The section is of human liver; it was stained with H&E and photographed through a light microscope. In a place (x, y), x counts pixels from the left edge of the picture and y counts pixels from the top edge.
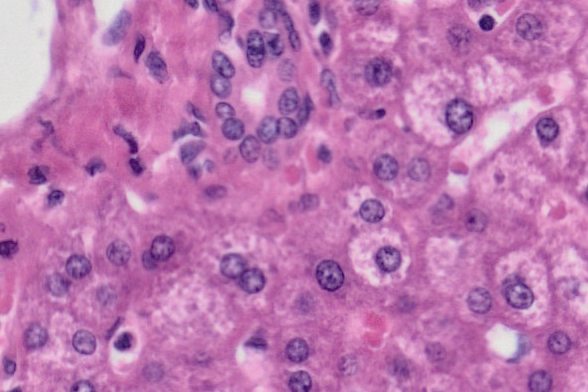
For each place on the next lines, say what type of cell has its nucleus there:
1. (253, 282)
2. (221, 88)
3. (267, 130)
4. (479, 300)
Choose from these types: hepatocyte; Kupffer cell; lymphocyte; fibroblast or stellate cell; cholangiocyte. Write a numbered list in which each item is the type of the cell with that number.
1. hepatocyte
2. cholangiocyte
3. cholangiocyte
4. hepatocyte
